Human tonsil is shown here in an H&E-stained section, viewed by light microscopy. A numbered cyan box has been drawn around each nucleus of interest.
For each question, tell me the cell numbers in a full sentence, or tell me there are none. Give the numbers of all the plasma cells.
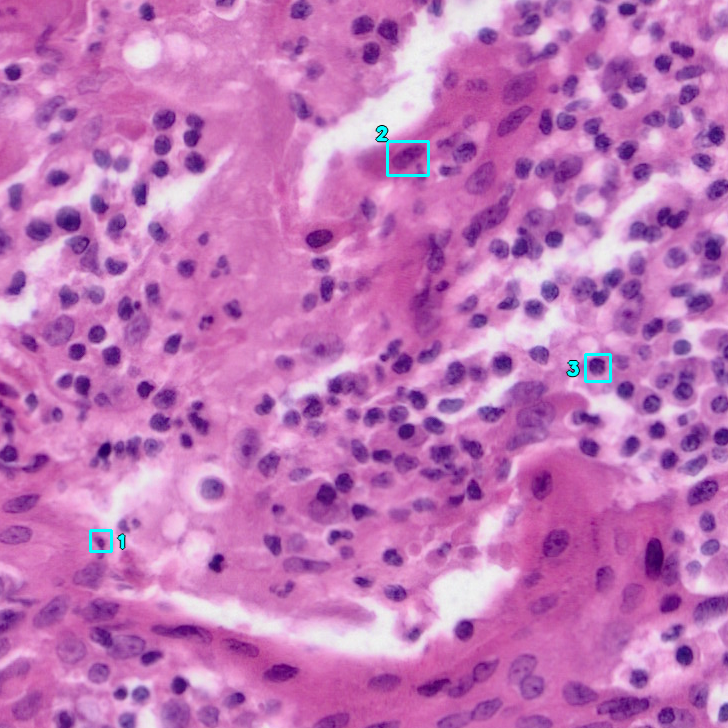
Cell 3 alone, of all the numbered cells, is a plasma cell.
